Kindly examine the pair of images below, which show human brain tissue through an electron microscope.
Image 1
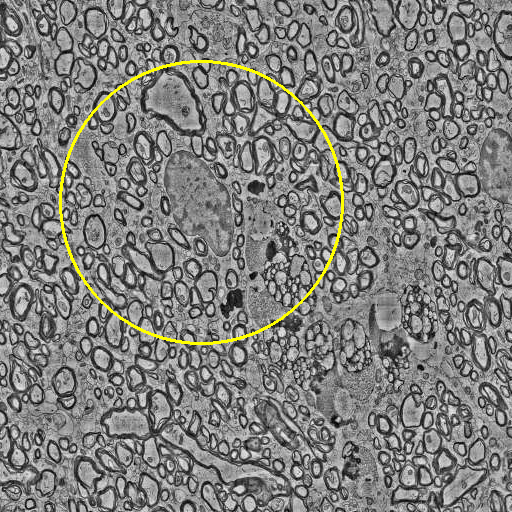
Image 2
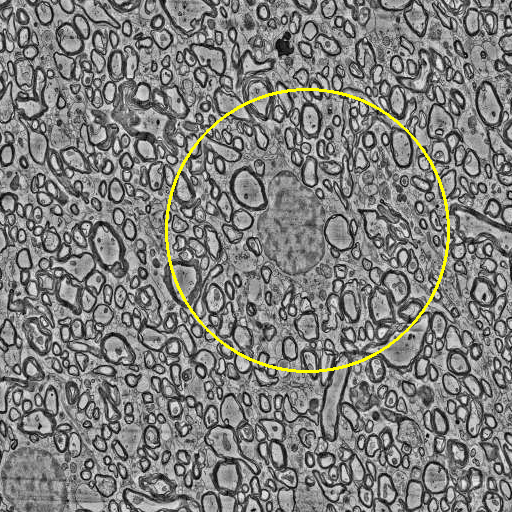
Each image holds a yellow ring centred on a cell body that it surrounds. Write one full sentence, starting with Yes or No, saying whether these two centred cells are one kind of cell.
No, the cells at the centres of the yellow rings belong to two kinds of cell.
